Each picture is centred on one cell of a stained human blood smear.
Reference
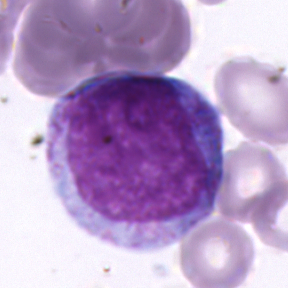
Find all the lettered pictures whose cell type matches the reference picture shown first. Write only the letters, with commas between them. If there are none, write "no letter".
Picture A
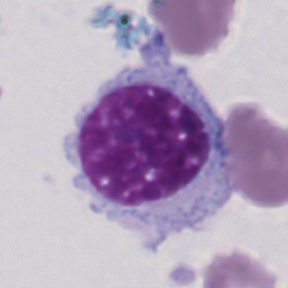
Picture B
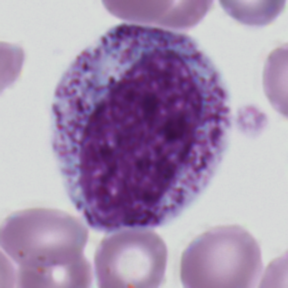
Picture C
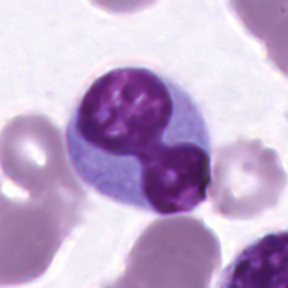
B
